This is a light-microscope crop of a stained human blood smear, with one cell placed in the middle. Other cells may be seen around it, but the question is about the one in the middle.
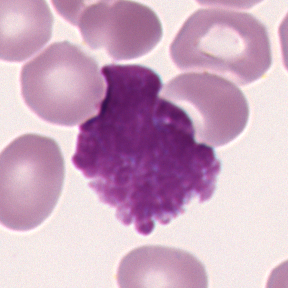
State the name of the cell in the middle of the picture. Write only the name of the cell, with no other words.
smudge cell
